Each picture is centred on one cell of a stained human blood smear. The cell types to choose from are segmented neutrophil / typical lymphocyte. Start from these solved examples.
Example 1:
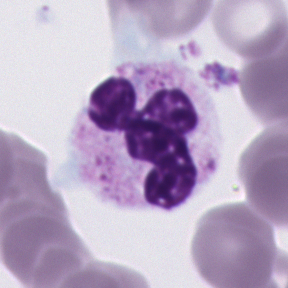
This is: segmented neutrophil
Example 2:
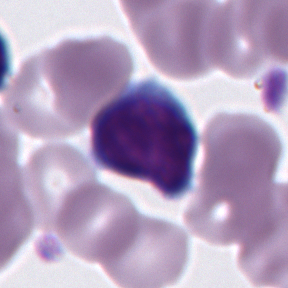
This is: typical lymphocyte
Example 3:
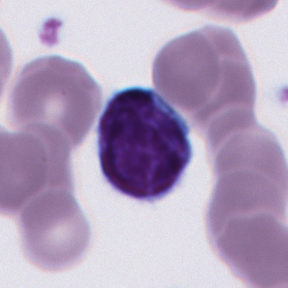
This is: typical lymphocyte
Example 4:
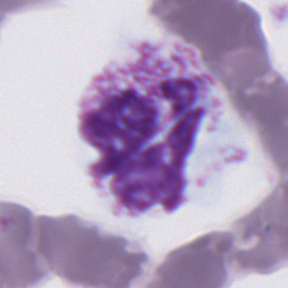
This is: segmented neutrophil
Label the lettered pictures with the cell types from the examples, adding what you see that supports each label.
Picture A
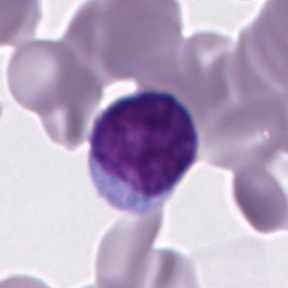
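typical lymphocyte: The cytoplasm forms a narrow crescent mainly along the lower left side of the cell.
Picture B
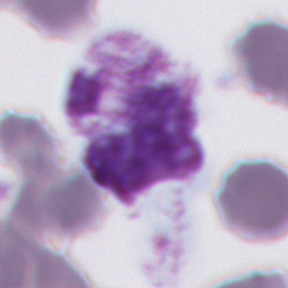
segmented neutrophil: The outline of the nucleus is hidden by the overlying granules.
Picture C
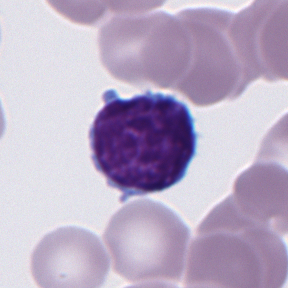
typical lymphocyte: The cytoplasm shows only as a thin rim around the nucleus.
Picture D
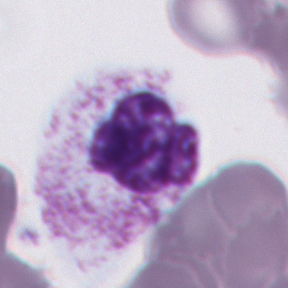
segmented neutrophil: Between the granules the cytoplasm is pale and nearly colourless.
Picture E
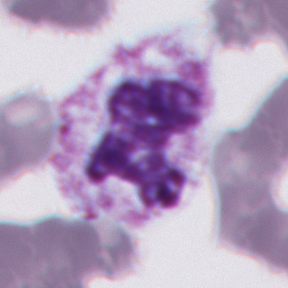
segmented neutrophil: The nucleus is divided into several connected lobes.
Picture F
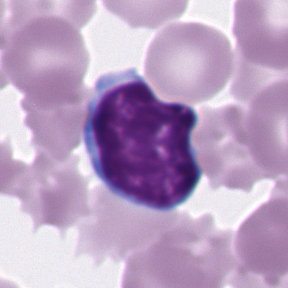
typical lymphocyte: The cytoplasm is a scant pale blue rim around the nucleus.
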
